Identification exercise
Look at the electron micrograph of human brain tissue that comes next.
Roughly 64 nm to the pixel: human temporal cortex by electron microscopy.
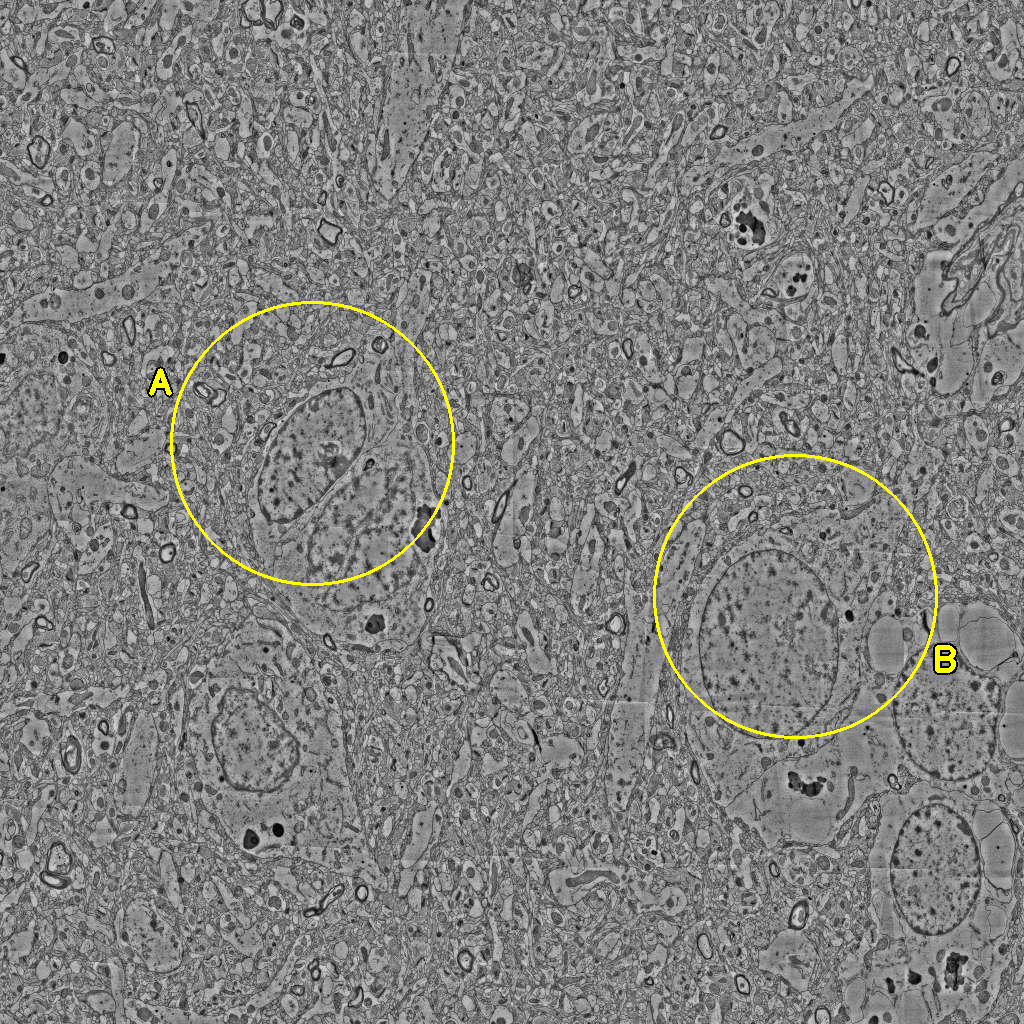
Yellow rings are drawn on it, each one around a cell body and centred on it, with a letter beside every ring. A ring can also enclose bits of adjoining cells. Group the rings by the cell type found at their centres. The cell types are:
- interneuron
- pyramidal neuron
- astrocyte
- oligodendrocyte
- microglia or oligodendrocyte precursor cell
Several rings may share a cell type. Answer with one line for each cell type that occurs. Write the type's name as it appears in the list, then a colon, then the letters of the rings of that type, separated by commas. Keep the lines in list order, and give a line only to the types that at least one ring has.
pyramidal neuron: B
microglia or oligodendrocyte precursor cell: A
